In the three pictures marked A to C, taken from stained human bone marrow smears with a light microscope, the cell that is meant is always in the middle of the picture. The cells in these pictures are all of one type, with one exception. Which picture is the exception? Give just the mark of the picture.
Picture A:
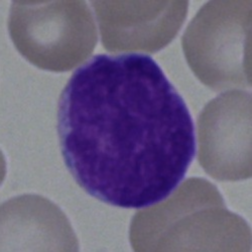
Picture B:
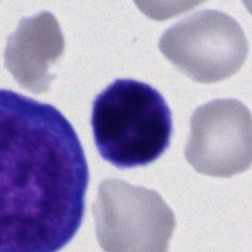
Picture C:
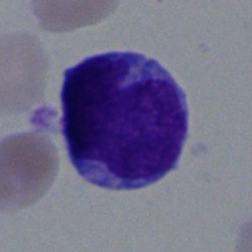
B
